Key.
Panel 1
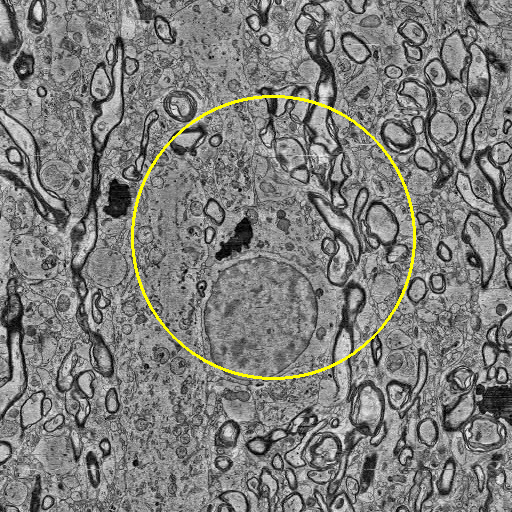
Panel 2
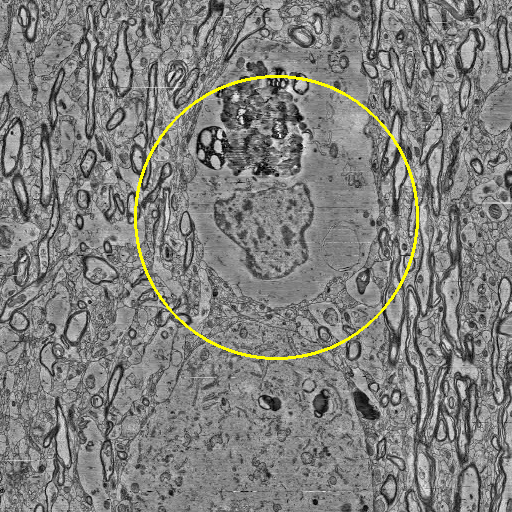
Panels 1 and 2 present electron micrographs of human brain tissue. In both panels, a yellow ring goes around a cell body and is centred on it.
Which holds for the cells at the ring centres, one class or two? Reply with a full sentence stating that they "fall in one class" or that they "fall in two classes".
Taken together, the ring-centre cells of the two panels fall in two classes.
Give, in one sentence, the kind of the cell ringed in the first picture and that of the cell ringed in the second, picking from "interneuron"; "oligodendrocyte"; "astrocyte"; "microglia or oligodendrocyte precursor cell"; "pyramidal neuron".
For the first picture it is an oligodendrocyte; for the second, an astrocyte.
